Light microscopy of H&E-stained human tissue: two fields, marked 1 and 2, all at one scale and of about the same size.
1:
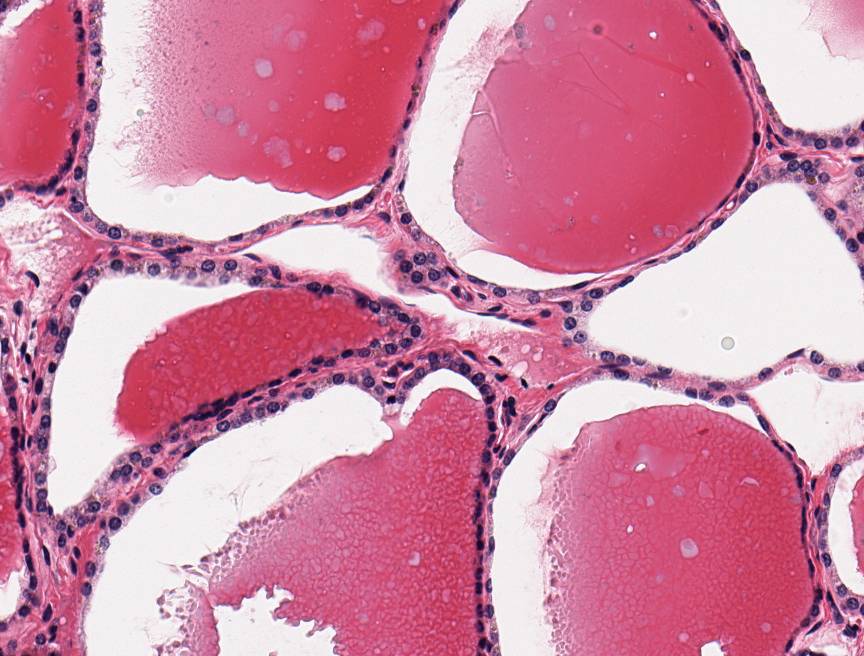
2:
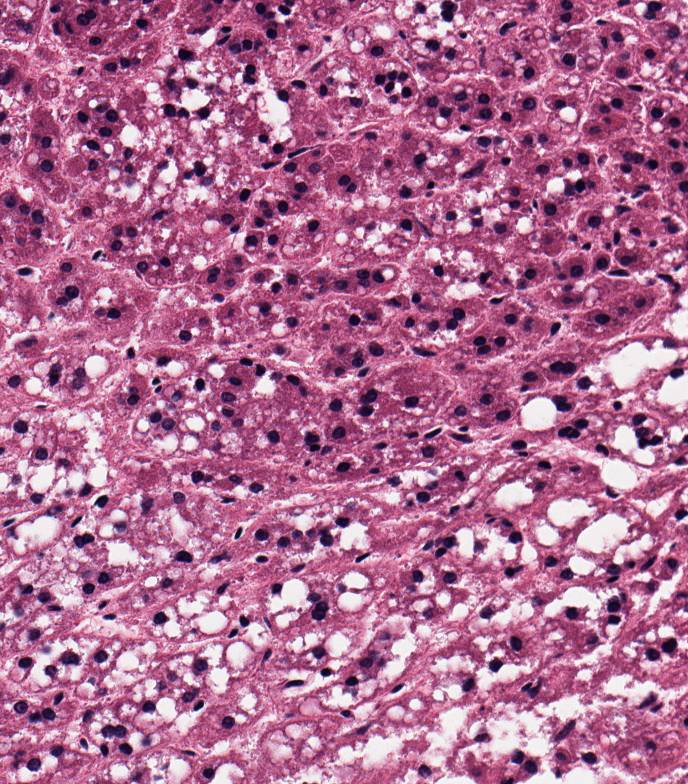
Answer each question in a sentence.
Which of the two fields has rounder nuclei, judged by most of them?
On the whole the nuclei of picture 2 are rounder than those of picture 1.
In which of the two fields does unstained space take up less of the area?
Less of picture 2 is empty and white.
